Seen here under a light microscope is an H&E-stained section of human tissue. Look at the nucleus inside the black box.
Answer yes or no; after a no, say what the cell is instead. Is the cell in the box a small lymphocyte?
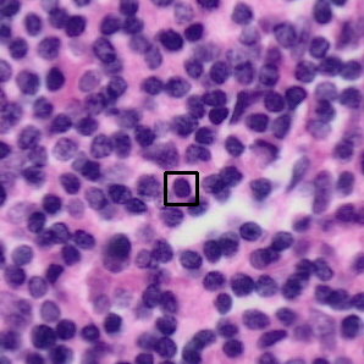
Yes.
